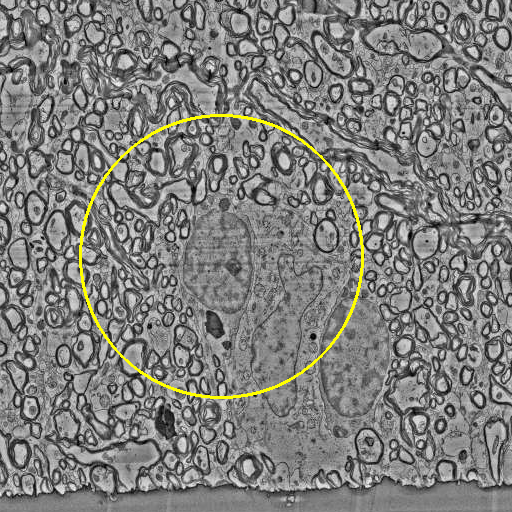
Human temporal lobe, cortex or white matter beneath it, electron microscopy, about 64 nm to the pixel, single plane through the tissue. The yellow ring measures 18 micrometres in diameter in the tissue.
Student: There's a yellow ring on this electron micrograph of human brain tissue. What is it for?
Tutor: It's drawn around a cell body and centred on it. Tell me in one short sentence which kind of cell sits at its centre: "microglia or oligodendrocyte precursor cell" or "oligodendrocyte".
The cell at the centre of the ring is an oligodendrocyte.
